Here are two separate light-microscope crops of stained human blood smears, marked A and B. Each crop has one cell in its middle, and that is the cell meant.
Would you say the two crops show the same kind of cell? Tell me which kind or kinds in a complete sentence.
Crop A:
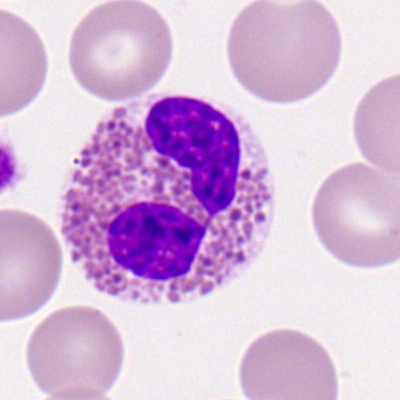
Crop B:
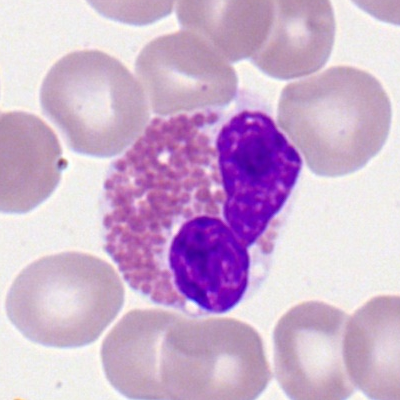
Yes, the cells of interest in both crops are eosinophils.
